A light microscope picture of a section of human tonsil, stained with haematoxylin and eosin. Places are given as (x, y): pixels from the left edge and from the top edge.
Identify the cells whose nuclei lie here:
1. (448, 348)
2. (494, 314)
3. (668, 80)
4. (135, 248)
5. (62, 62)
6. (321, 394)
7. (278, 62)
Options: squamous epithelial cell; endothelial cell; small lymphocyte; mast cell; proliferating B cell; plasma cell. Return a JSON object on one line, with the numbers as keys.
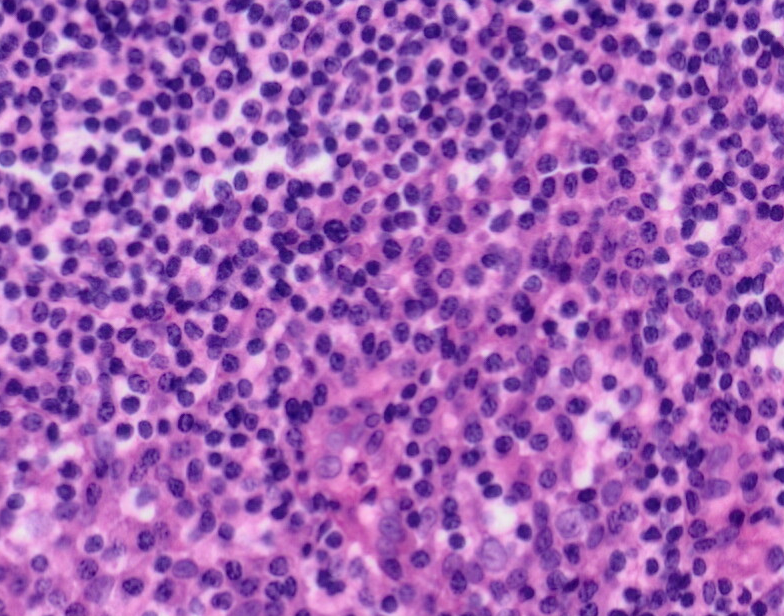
{"1": "plasma cell", "2": "plasma cell", "3": "small lymphocyte", "4": "small lymphocyte", "5": "small lymphocyte", "6": "plasma cell", "7": "small lymphocyte"}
